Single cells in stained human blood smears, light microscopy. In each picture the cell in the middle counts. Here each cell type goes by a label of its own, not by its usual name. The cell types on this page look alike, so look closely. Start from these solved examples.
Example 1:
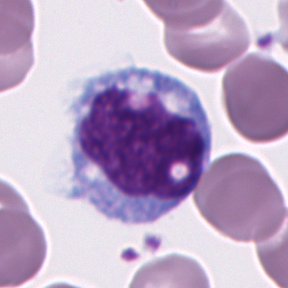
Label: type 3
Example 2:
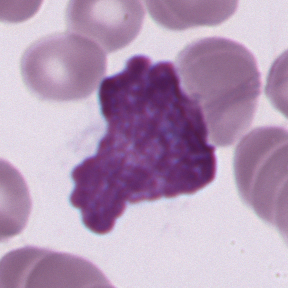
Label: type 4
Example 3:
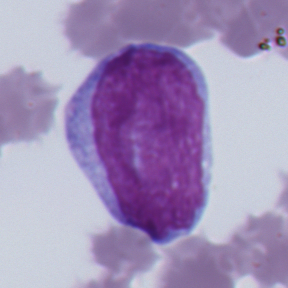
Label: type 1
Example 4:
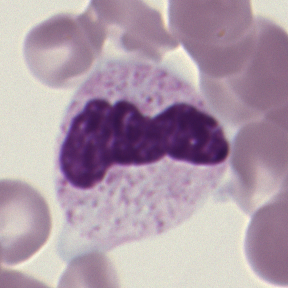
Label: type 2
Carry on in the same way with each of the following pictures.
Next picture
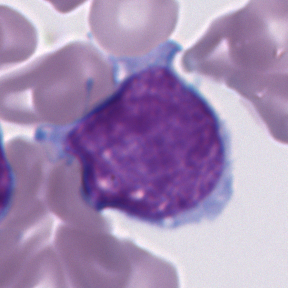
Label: type 1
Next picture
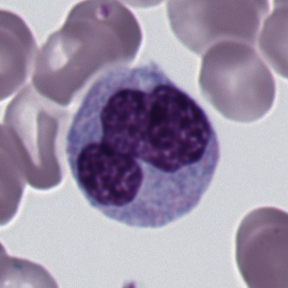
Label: type 3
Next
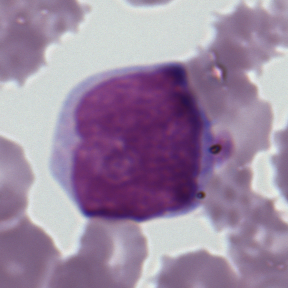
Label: type 1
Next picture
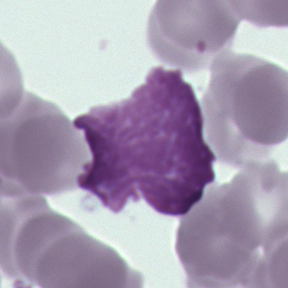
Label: type 4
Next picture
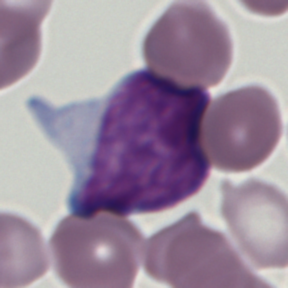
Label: type 1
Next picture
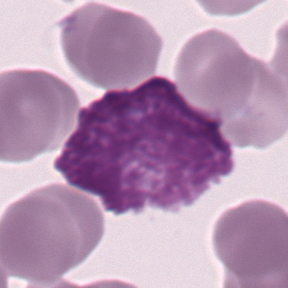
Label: type 4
